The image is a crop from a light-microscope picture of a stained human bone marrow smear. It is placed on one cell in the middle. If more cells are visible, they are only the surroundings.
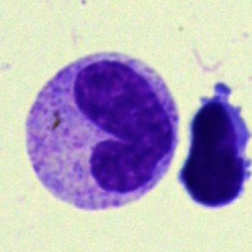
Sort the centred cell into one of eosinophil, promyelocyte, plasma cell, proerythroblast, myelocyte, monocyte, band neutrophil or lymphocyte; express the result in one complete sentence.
The center cell of this crop is a band neutrophil.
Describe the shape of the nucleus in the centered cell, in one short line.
The nucleus is one compact mass, round, oval or kidney-shaped in outline.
